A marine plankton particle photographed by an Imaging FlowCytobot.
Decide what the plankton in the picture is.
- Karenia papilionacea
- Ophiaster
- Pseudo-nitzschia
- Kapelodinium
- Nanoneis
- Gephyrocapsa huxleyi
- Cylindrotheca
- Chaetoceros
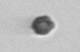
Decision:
Gephyrocapsa huxleyi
